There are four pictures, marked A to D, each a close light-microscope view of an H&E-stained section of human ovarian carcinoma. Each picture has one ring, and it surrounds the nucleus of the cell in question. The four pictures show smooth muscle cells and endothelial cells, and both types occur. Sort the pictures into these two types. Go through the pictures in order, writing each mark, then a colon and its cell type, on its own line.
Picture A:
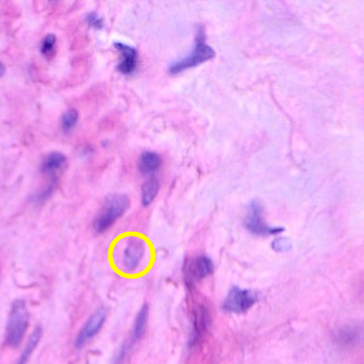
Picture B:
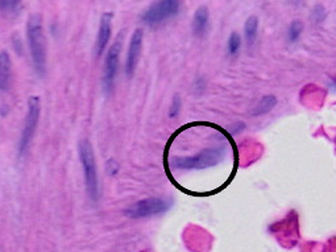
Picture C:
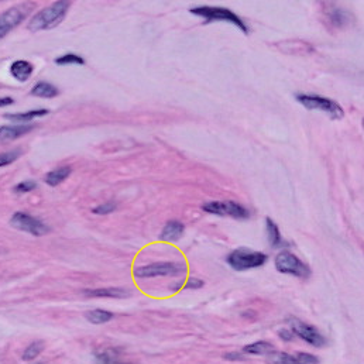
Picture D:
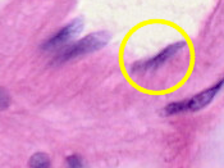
A: smooth muscle cell
B: endothelial cell
C: smooth muscle cell
D: endothelial cell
